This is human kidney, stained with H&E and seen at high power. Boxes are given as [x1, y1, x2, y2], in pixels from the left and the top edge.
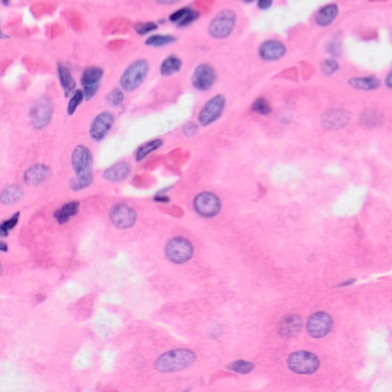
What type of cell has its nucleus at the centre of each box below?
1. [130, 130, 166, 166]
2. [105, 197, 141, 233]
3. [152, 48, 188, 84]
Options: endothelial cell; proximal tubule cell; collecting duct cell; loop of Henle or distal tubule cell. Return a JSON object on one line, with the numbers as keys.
{"1": "collecting duct cell", "2": "proximal tubule cell", "3": "collecting duct cell"}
